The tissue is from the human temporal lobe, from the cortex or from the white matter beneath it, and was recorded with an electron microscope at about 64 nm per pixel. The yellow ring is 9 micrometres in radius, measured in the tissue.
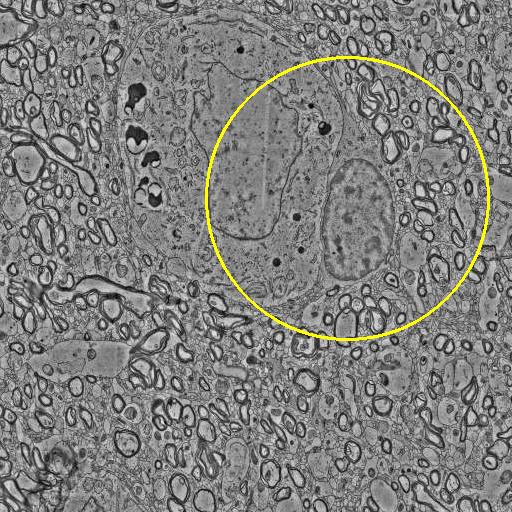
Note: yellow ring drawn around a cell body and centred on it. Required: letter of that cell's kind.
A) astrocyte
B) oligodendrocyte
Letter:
B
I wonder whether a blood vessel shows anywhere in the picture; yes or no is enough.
No.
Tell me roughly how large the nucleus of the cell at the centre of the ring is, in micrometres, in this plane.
Approximately 8 by 5 micrometers, which makes the nucleus clearly longer than it is wide in this plane.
